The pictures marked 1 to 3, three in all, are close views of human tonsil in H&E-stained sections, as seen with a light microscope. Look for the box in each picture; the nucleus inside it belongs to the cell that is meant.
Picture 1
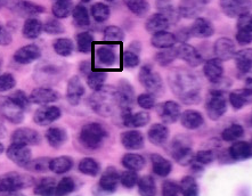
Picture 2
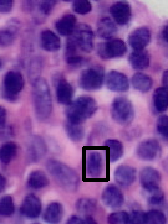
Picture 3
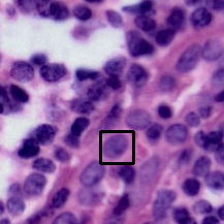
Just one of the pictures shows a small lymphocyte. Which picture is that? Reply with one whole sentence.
Picture 1 is the one that shows the small lymphocyte.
